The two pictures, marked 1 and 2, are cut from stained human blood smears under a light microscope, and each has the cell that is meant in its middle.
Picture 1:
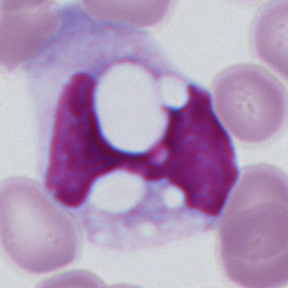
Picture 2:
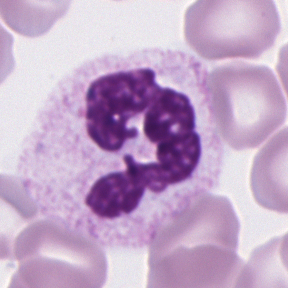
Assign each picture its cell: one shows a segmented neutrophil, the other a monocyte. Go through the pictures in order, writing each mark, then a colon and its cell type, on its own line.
1: monocyte
2: segmented neutrophil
